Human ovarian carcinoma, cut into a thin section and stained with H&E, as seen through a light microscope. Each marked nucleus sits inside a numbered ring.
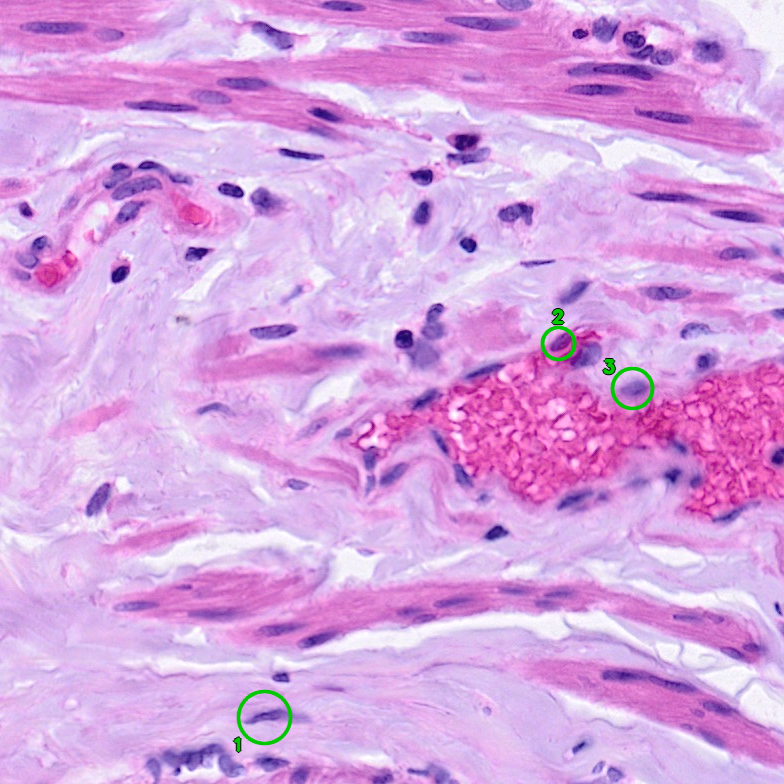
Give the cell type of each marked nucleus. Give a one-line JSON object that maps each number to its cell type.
{"1": "fibroblast", "2": "endothelial cell", "3": "endothelial cell"}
